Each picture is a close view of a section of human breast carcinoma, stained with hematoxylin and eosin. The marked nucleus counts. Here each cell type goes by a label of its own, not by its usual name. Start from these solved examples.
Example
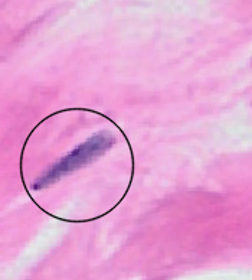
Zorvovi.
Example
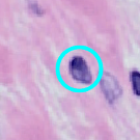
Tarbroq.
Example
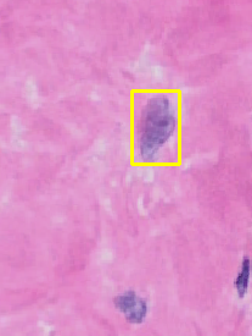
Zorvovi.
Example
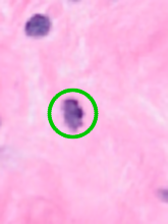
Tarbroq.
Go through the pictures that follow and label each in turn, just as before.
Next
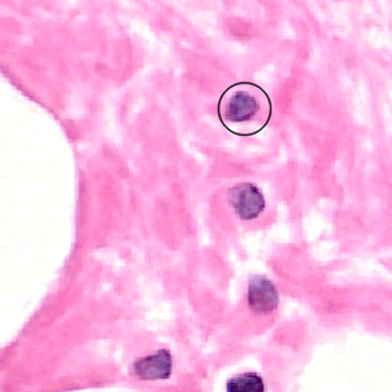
Tarbroq.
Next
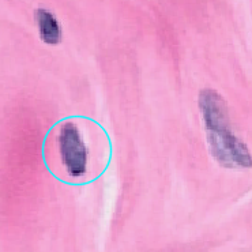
Tarbroq.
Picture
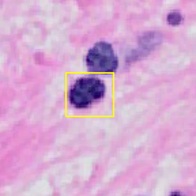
Tarbroq.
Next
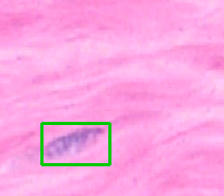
Zorvovi.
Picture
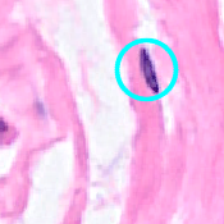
Zorvovi.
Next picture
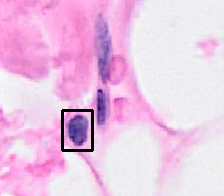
Tarbroq.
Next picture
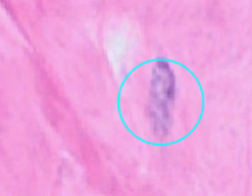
Zorvovi.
